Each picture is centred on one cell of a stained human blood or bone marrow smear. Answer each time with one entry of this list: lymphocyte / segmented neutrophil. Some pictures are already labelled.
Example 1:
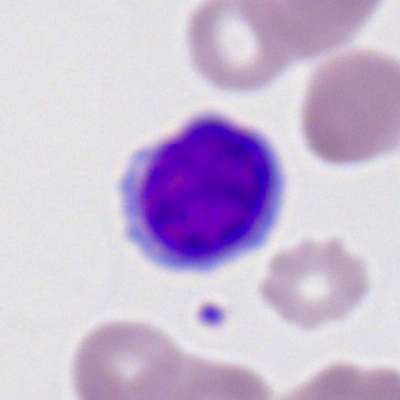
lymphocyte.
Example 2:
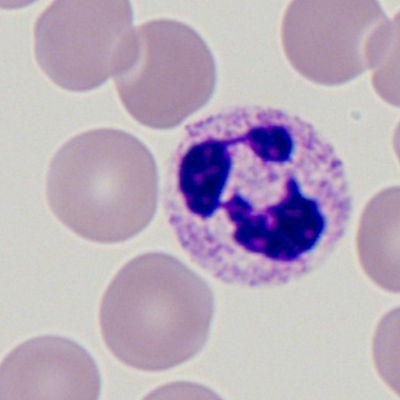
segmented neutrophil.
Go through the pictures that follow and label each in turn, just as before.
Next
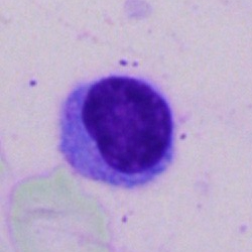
lymphocyte.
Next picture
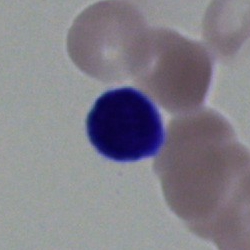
lymphocyte.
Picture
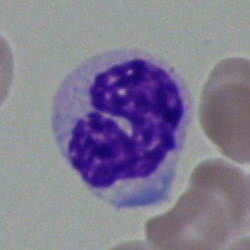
segmented neutrophil.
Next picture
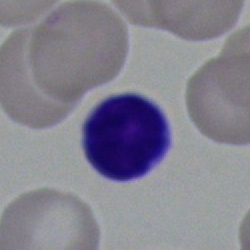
lymphocyte.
